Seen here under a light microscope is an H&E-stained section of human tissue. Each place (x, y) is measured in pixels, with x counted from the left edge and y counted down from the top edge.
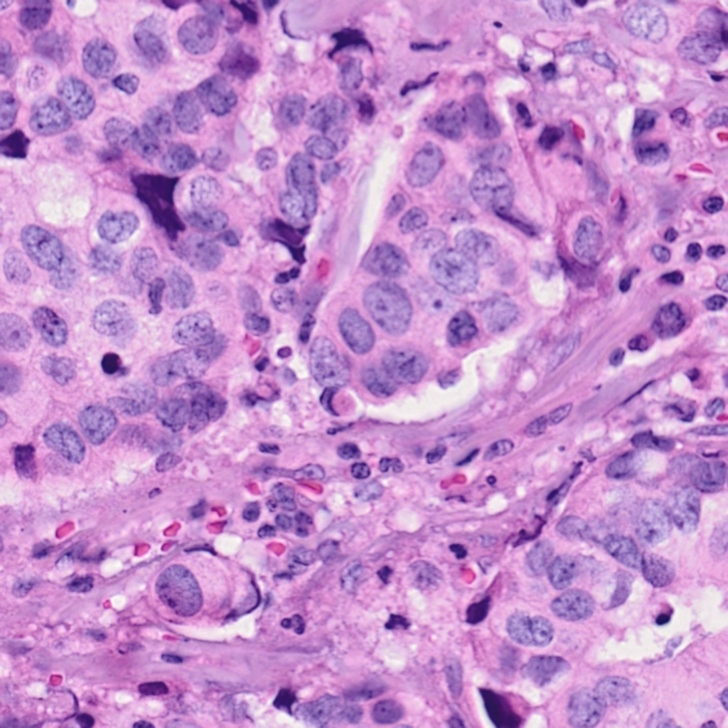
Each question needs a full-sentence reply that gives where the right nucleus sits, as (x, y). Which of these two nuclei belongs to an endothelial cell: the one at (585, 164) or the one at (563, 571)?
The nucleus of an endothelial cell is the one at (585, 164).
